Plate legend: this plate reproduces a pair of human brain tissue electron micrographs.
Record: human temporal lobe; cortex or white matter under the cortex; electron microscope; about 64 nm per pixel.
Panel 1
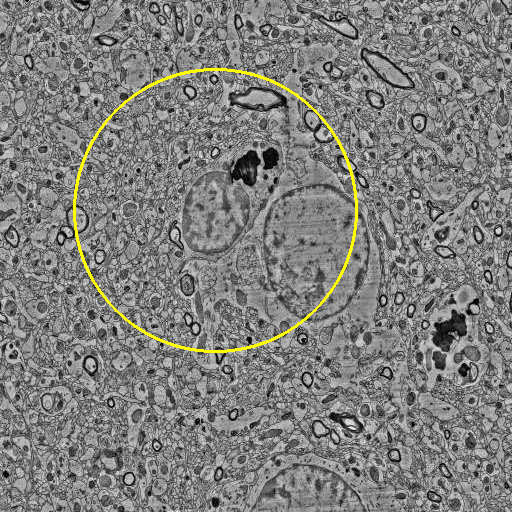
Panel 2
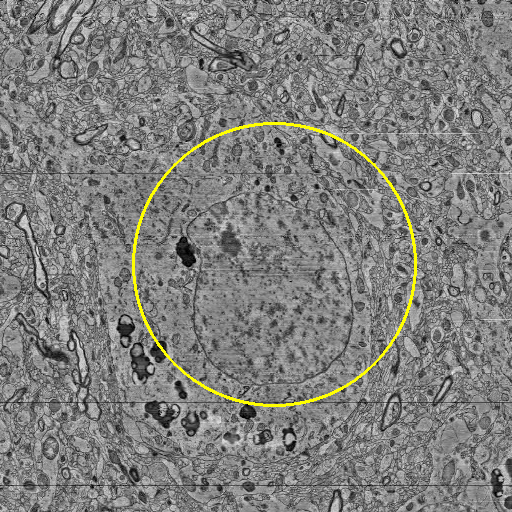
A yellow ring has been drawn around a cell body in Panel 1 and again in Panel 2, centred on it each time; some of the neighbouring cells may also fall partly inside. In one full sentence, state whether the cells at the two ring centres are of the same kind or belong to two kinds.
The ring-centred cells of Panel 1 and Panel 2 belong to two kinds.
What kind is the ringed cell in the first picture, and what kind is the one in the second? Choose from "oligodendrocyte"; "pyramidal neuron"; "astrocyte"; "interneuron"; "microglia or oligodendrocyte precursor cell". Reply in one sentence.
The first cell is an oligodendrocyte; the second is a pyramidal neuron.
